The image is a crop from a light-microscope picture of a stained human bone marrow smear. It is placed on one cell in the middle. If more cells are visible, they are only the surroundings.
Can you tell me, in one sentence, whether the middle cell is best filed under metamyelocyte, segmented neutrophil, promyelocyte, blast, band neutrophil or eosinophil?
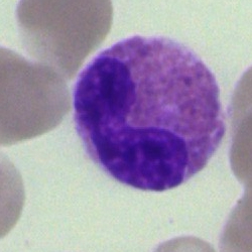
What the crop centres on is an eosinophil.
